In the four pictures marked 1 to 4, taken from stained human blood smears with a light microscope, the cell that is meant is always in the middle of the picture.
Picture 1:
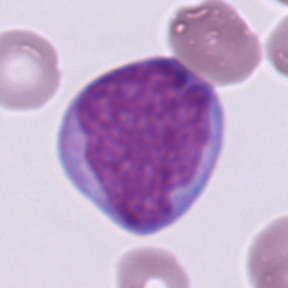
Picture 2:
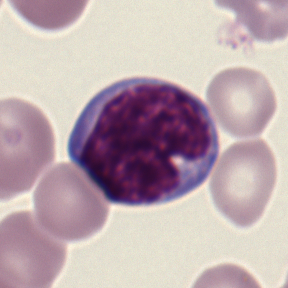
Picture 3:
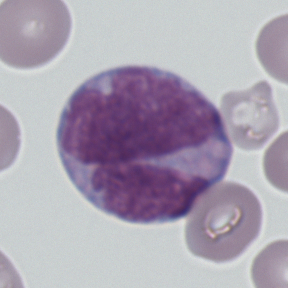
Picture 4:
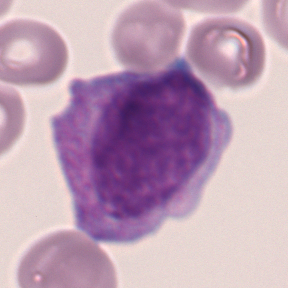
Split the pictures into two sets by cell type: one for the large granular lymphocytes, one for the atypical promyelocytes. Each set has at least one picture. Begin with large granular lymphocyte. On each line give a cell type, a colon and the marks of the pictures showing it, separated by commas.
large granular lymphocyte: 2
atypical promyelocyte: 1, 3, 4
